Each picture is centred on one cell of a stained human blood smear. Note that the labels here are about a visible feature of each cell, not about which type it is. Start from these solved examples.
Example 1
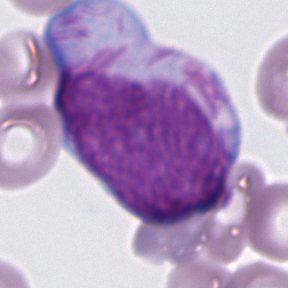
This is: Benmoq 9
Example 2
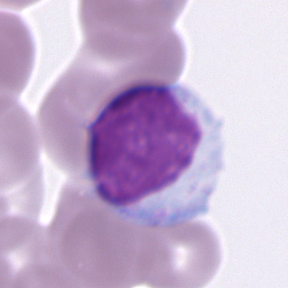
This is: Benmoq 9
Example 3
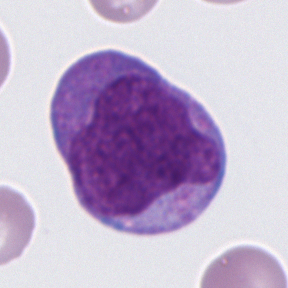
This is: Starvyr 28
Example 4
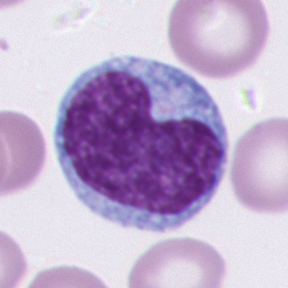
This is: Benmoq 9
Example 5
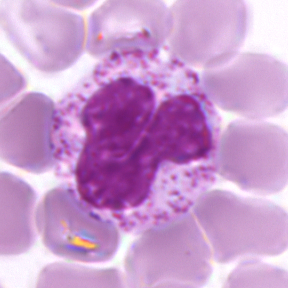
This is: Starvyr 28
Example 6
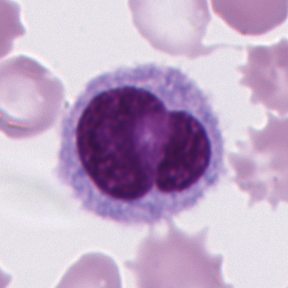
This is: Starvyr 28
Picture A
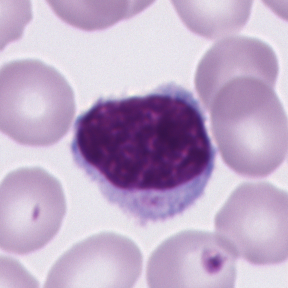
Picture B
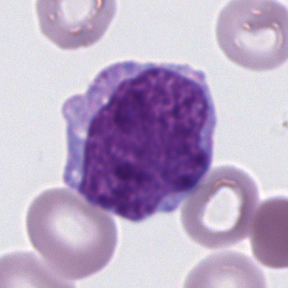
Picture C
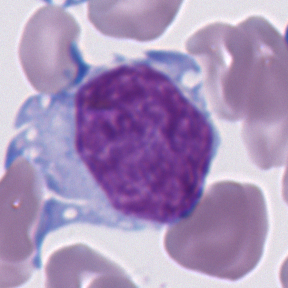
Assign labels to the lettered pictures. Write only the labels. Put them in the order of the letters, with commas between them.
Benmoq 9, Benmoq 9, Benmoq 9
